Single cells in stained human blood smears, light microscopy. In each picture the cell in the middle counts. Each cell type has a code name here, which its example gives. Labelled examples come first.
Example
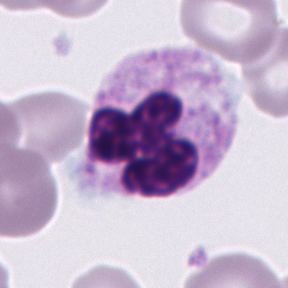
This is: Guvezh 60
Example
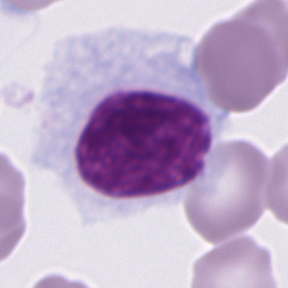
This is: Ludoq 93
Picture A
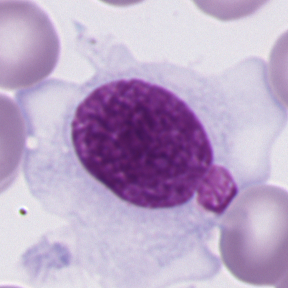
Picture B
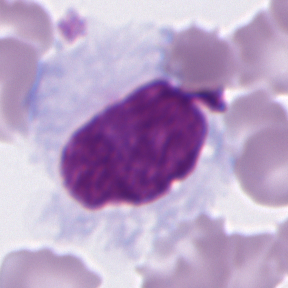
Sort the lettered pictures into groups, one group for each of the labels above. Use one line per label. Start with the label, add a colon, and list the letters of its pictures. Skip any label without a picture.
Ludoq 93: A, B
